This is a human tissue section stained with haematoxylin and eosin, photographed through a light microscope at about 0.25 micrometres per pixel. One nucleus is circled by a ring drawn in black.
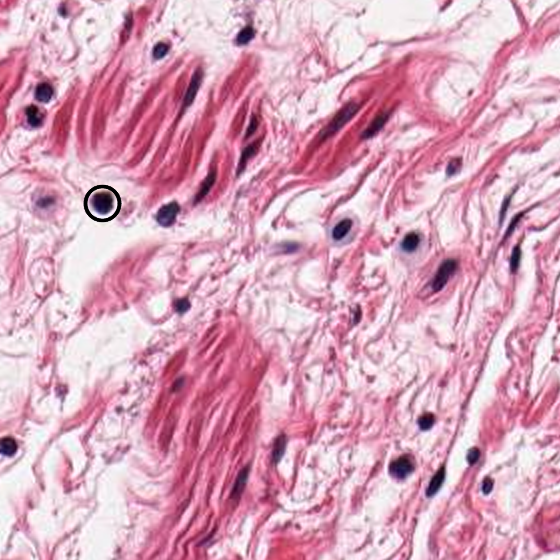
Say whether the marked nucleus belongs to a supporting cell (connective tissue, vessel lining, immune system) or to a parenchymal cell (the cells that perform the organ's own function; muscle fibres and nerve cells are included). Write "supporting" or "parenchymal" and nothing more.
supporting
